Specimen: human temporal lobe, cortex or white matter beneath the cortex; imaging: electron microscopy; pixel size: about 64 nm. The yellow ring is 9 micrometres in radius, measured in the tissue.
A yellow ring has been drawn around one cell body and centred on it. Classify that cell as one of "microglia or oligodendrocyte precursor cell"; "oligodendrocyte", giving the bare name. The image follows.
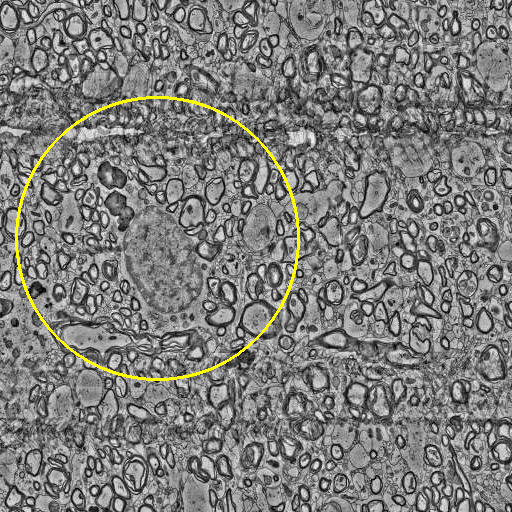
oligodendrocyte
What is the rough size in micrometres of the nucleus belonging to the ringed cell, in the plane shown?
In this plane, about 7 by 5 micrometres: the nucleus is clearly longer than it is wide.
